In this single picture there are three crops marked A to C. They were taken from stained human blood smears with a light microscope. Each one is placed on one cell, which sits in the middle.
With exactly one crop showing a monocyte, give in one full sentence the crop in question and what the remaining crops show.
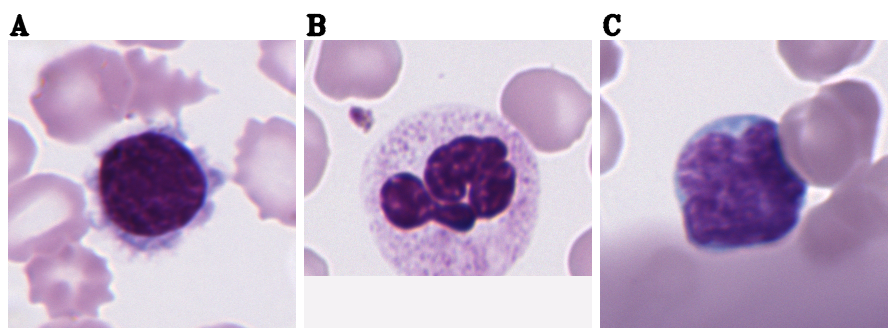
The centred cell in crop C is a monocyte; meanwhile, crop A is a hairy cell and crop B is a segmented neutrophil.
